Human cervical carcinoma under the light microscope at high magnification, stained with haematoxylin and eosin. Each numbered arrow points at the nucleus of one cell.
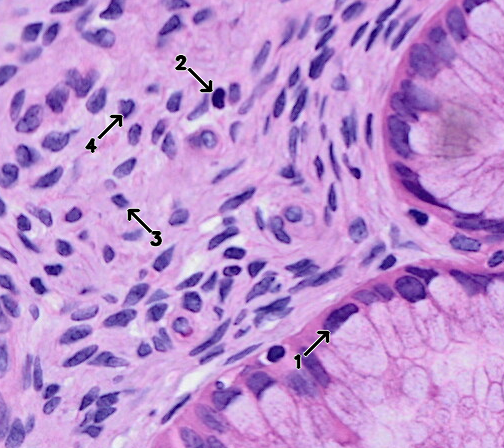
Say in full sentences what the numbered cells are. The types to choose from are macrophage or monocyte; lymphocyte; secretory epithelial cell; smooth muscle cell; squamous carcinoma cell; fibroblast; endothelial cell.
Cell 1 is a secretory epithelial cell, cell 2 is a lymphocyte, cell 3 is a fibroblast and cell 4 is a fibroblast.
